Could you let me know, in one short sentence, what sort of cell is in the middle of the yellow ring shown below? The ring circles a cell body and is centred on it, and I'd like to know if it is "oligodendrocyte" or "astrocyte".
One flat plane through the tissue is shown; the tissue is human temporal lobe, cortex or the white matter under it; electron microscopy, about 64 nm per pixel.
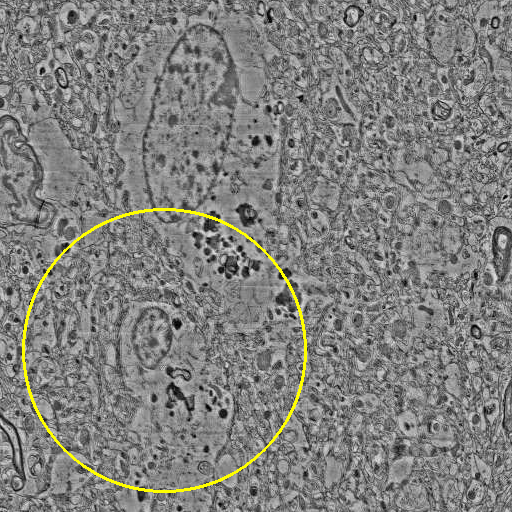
The ring circles the cell body of an astrocyte.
